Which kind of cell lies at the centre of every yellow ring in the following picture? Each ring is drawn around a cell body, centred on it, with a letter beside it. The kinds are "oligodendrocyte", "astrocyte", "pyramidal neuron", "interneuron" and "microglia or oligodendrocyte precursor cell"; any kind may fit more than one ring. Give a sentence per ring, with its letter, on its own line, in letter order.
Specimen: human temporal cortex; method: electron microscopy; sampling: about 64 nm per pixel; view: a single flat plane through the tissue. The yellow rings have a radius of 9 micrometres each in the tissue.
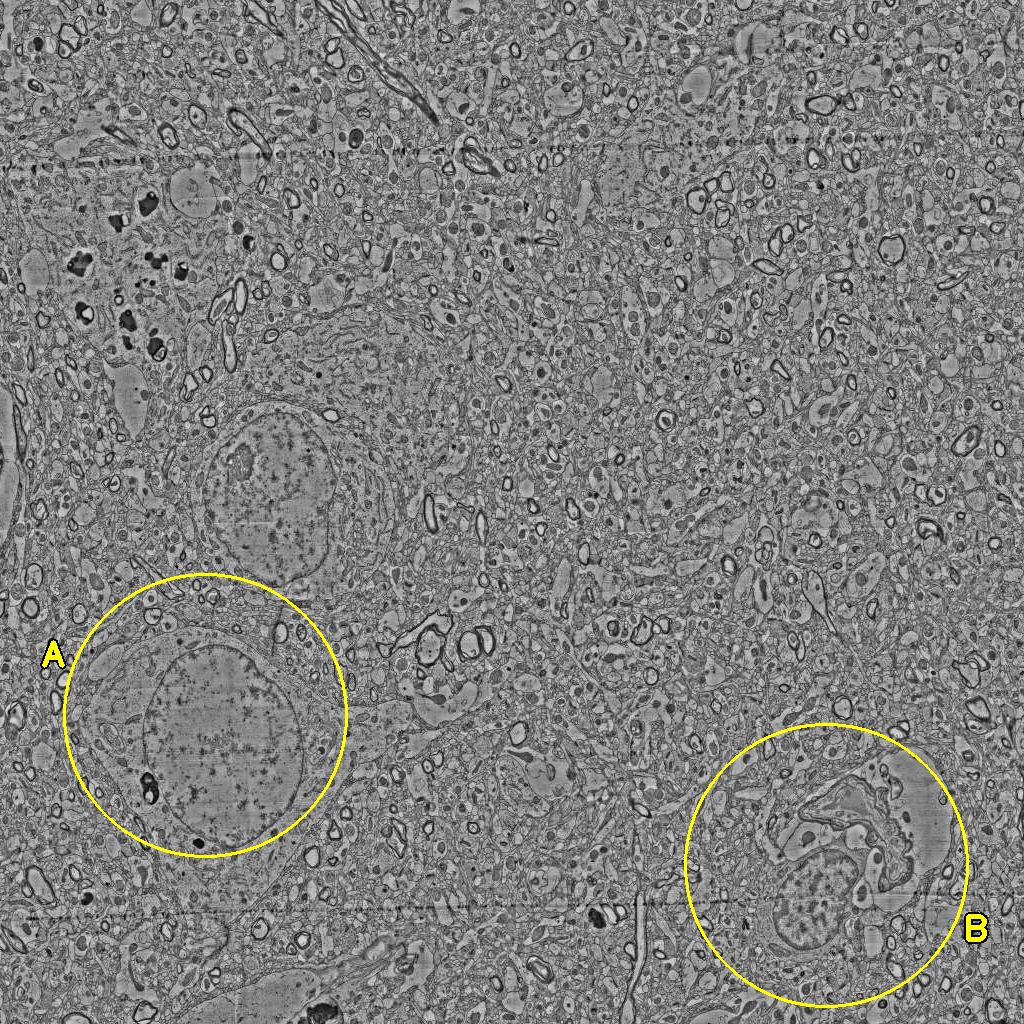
The cell body centred in ring A is that of a pyramidal neuron.
The cell body centred in ring B is that of an oligodendrocyte.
